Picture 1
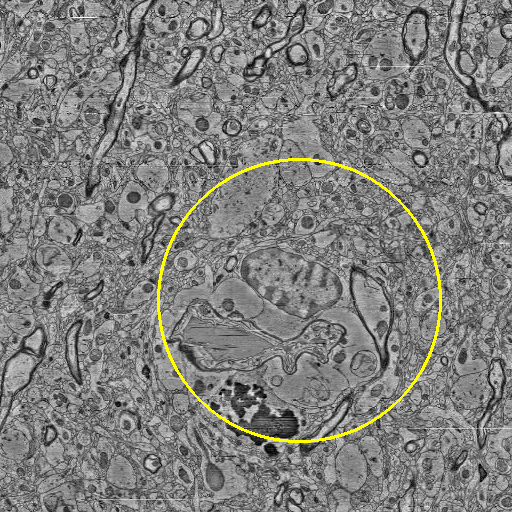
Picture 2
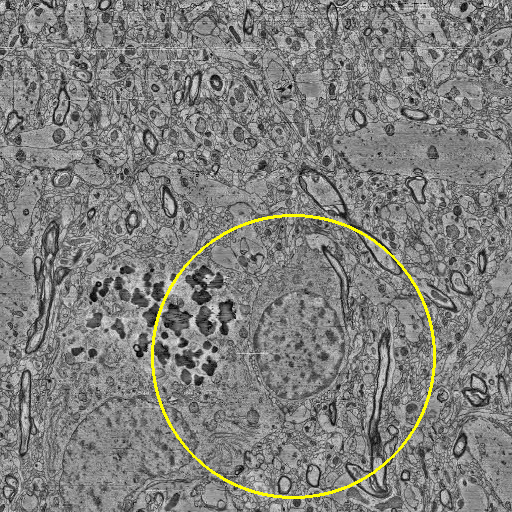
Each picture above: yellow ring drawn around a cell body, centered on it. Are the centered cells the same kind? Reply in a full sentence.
No, the two cells are two kinds of cell.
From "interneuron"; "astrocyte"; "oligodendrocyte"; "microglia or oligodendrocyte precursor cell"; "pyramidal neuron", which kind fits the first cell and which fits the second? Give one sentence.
The cell marked in the first picture is a microglial cell or oligodendrocyte precursor cell, and the one marked in the second is an oligodendrocyte.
